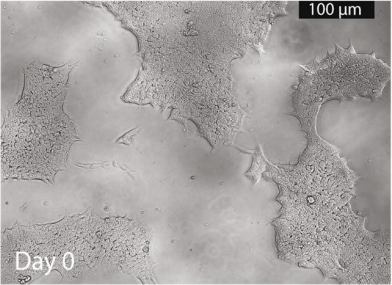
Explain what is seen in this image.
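Unstained cultured stem cell colonies at moderate magnification. Several irregularly shaped, flat colonies are scattered across the field, separated by broad areas of bare substrate. Each colony consists of densely packed small cells of uniform appearance, giving a fine granular texture. Colony borders are sharp and continuous, with occasional short spiky projections at the edges. A few isolated cells or thin strands lie in the spaces between colonies. No obvious regions of differently shaped or loosened cells are seen within the colonies.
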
